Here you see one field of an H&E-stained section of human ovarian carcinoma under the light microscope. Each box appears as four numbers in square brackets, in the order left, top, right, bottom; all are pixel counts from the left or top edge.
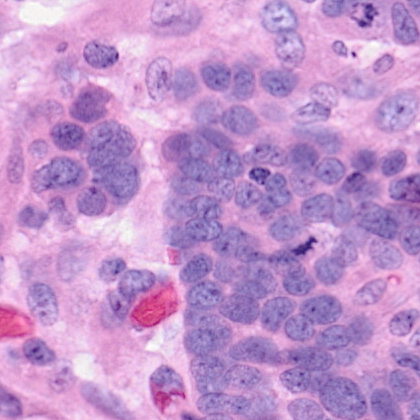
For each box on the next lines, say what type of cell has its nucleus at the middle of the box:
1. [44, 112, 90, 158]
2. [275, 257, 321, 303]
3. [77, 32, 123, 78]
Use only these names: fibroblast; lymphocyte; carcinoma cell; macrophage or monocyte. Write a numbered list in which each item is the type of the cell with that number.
1. carcinoma cell
2. carcinoma cell
3. macrophage or monocyte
